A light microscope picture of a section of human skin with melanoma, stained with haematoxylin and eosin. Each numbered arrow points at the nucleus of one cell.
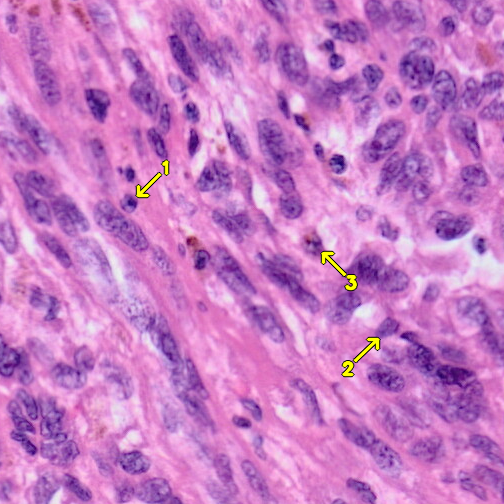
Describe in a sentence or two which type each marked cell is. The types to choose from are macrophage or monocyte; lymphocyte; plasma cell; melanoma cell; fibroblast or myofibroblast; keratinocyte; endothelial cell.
Cell 1 is a lymphocyte, cell 2 is a melanoma cell and cell 3 is a macrophage or monocyte.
